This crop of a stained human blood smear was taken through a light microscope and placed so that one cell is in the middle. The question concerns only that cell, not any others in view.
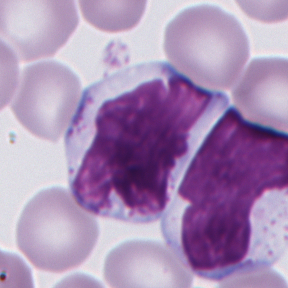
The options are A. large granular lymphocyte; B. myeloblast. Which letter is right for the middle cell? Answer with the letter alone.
A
